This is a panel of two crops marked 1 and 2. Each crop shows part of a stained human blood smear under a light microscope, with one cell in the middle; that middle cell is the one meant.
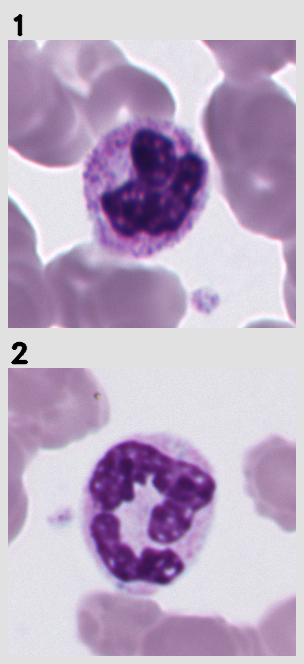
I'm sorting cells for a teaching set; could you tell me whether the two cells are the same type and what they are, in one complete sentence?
Yes, as for both crops, the cells shown are neutrophils.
